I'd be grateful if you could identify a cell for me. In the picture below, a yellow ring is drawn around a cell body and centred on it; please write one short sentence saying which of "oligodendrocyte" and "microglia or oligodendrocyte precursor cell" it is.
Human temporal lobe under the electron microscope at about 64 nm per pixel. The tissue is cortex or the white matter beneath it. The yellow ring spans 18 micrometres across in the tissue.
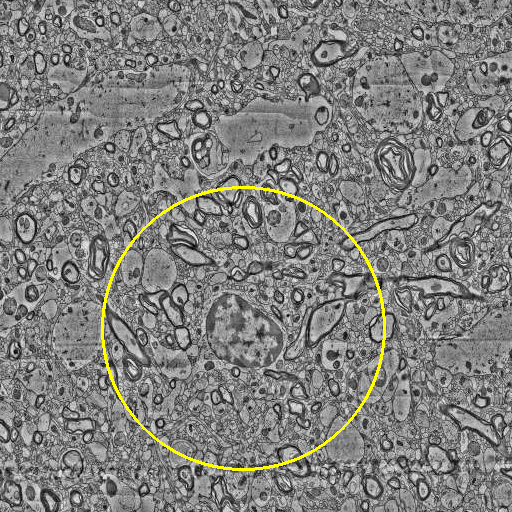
The cell under the ring's centre is a microglial cell or oligodendrocyte precursor cell.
